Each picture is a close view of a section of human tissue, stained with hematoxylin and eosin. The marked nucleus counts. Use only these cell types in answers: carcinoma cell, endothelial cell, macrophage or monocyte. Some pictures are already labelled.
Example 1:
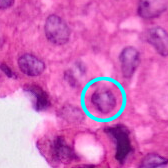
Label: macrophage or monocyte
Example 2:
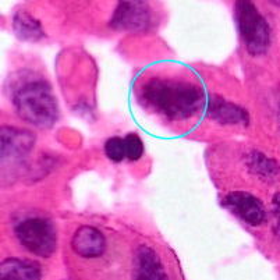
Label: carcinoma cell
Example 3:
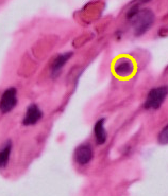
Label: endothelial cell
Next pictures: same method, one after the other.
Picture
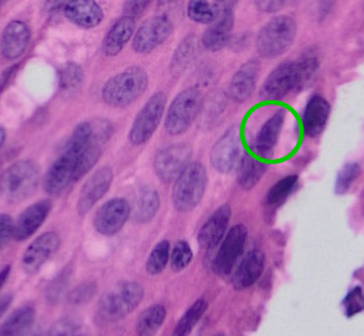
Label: carcinoma cell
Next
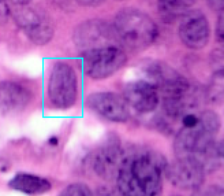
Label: carcinoma cell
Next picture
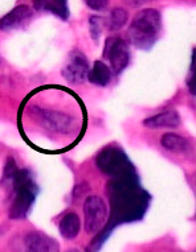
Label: endothelial cell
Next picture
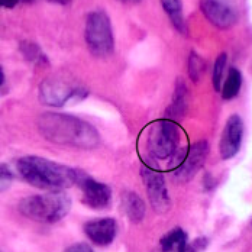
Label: endothelial cell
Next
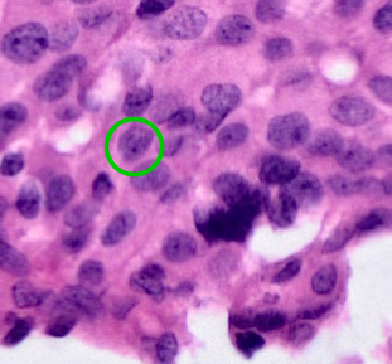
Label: carcinoma cell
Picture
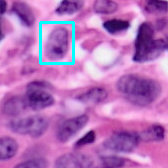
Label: macrophage or monocyte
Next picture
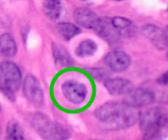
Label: macrophage or monocyte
